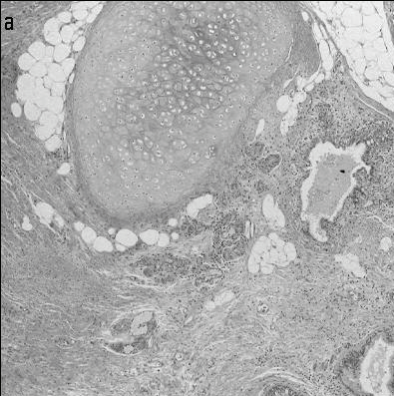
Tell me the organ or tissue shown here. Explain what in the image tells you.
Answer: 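A large rounded nodule of homogeneous matrix with cells sitting in small lacunae. Clusters of empty, rounded vacuoles resembling fat cells around the nodule. Fibromuscular stroma with small gland-like spaces. On this evidence: Cartilaginous and adipose tissue.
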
